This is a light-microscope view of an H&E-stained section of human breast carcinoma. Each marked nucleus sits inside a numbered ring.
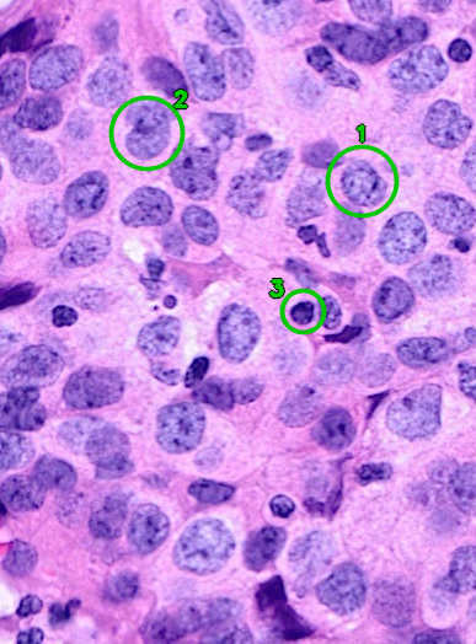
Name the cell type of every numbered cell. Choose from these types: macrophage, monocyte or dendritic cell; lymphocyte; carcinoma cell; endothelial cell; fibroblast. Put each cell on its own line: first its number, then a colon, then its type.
1: carcinoma cell
2: carcinoma cell
3: lymphocyte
